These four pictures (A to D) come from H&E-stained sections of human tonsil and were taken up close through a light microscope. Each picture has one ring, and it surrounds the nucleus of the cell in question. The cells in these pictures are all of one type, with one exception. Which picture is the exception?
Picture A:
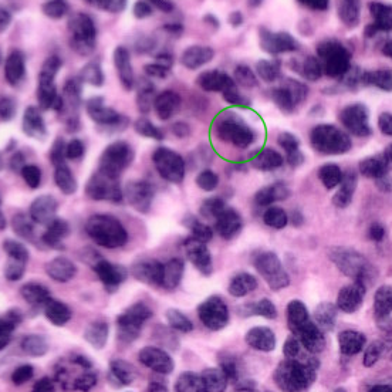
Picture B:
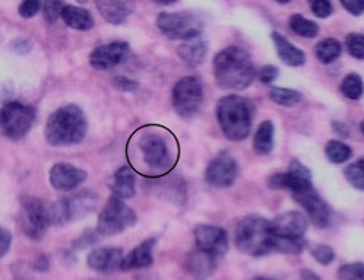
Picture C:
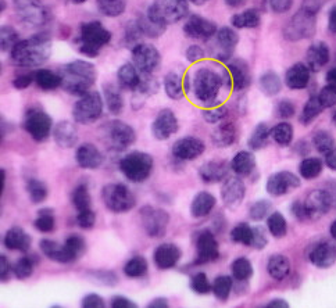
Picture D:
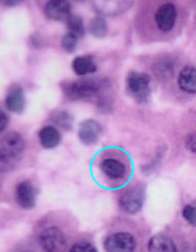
D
